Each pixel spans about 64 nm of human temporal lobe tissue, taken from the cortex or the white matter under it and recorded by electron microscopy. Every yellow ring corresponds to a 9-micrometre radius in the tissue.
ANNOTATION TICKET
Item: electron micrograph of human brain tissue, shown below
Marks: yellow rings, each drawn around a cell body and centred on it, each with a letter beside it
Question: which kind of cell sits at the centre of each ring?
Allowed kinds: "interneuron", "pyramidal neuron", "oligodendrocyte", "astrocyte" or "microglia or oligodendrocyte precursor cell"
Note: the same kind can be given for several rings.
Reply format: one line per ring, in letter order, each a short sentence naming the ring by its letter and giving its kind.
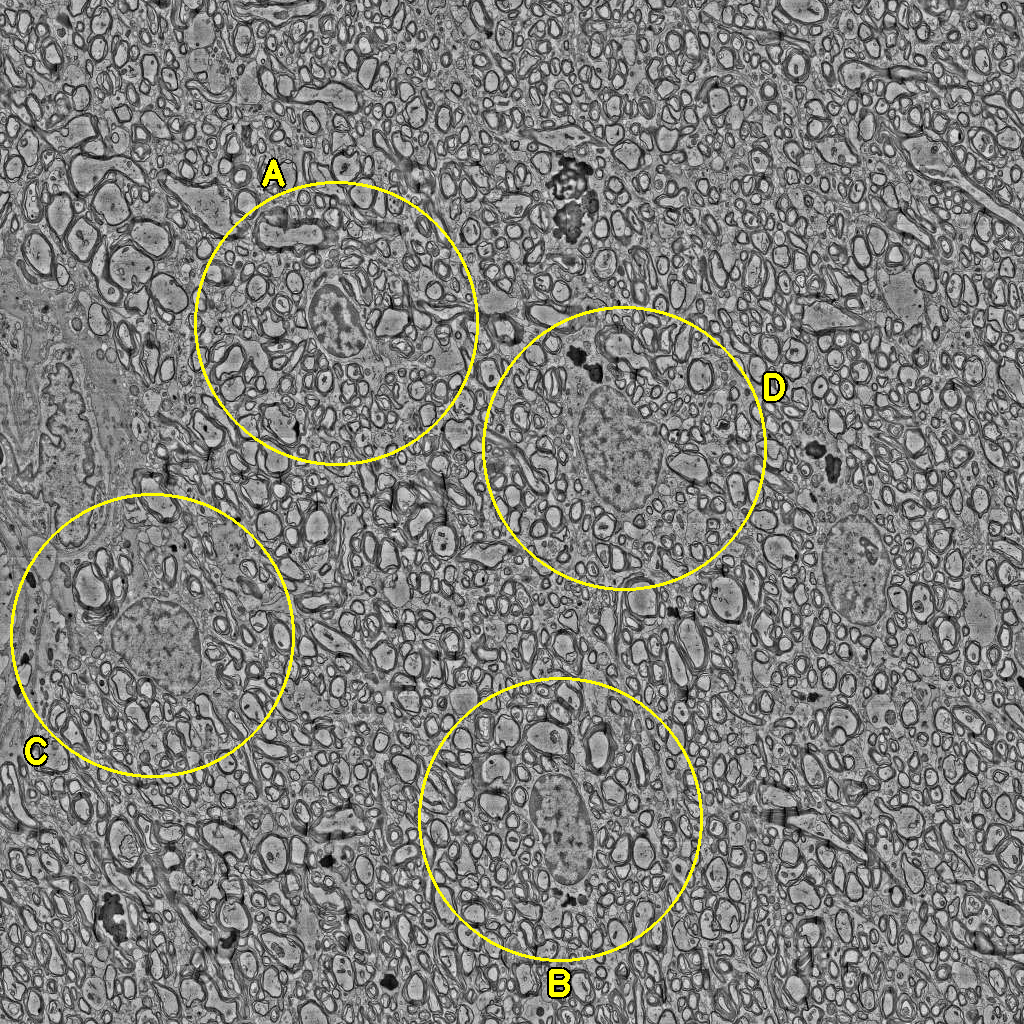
The cell at the centre of ring A is a microglial cell or oligodendrocyte precursor cell.
The cell at the centre of ring B is a microglial cell or oligodendrocyte precursor cell.
The cell at the centre of ring C is an oligodendrocyte.
The cell at the centre of ring D is an oligodendrocyte.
